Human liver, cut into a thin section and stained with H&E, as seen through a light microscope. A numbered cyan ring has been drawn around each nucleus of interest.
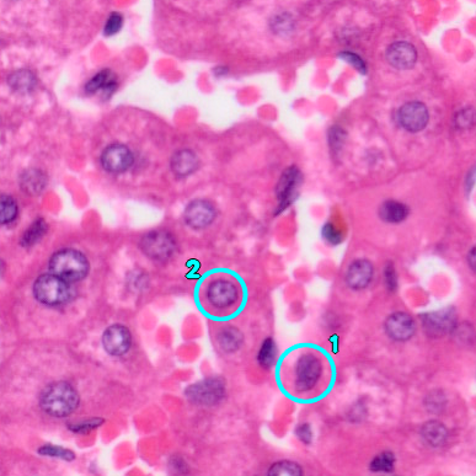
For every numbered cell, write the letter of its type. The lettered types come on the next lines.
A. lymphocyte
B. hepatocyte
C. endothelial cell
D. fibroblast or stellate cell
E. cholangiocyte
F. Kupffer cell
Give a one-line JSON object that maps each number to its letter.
{"1": "F", "2": "B"}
